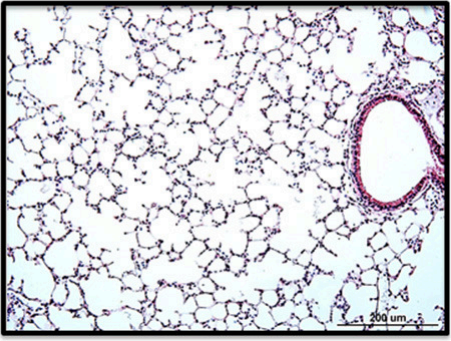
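Many open, polygonal air spaces are lined by thin septa carrying scattered small purple nuclei, and at one edge lies a round tube with a thick pink-red wall. This is normal-looking lung parenchyma with thin alveolar walls beside a vessel or small airway.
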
